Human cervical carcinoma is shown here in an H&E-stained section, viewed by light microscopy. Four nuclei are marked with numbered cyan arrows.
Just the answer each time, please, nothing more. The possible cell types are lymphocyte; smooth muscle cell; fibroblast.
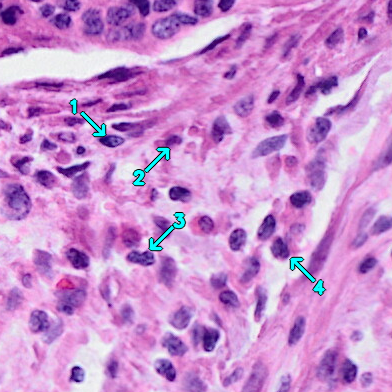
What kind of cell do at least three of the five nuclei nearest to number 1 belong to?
fibroblast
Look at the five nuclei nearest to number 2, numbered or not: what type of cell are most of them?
fibroblast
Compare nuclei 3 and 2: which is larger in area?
3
